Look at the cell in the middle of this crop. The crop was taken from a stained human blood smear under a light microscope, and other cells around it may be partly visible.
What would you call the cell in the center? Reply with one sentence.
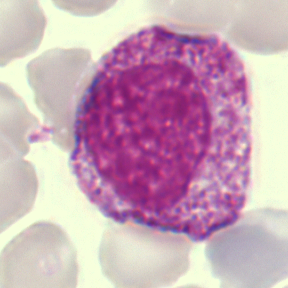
The cell occupying the middle of the crop is a myelocyte.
